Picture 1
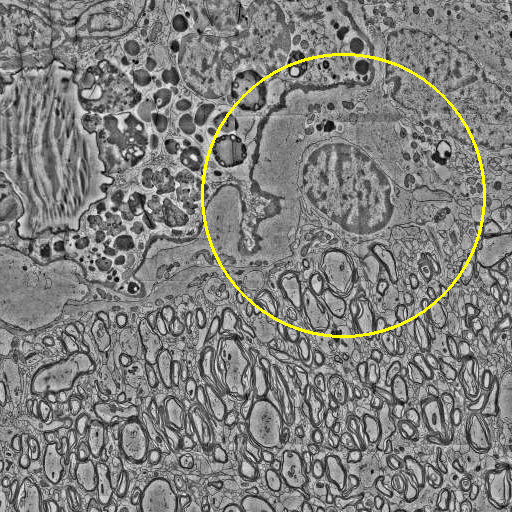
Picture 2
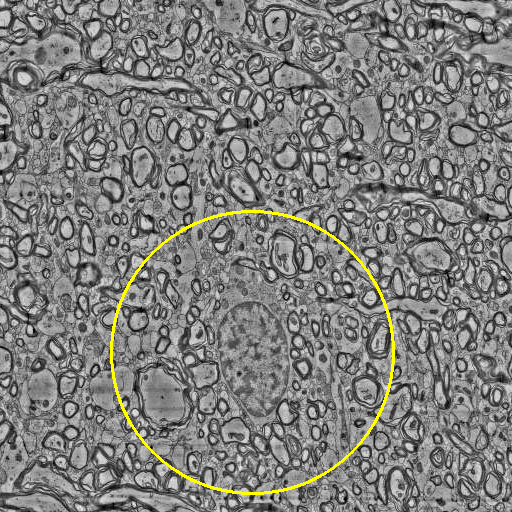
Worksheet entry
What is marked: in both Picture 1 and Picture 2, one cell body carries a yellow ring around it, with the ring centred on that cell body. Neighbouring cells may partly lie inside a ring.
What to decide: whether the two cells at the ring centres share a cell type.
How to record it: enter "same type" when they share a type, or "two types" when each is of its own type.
two types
